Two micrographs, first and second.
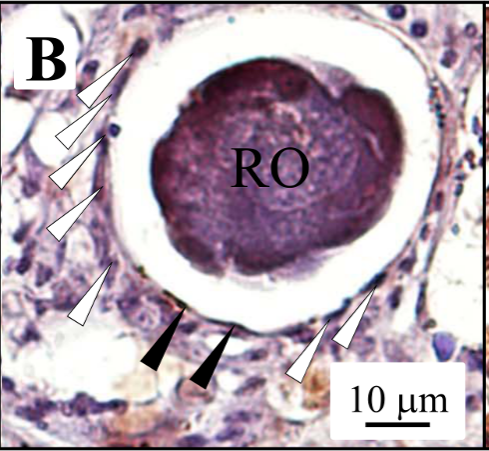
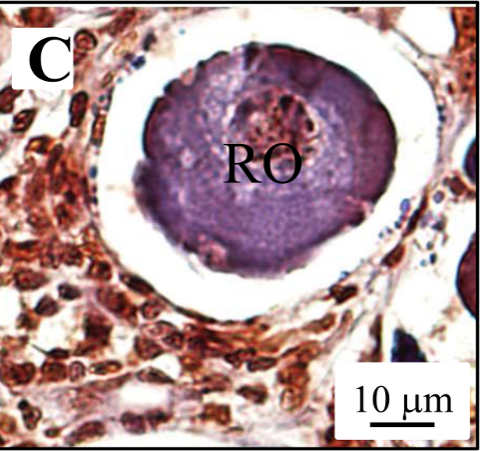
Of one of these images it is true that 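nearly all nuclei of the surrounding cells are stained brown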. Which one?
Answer: The second image.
